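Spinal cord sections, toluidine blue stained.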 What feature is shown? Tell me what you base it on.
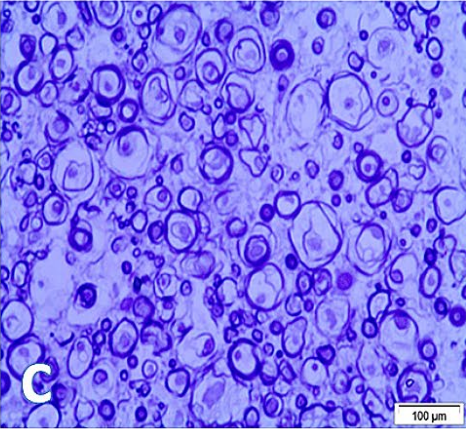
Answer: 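Many round profiles are each ringed by a dark blue band. The ringed profiles are scattered densely across the field.
Myelin.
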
